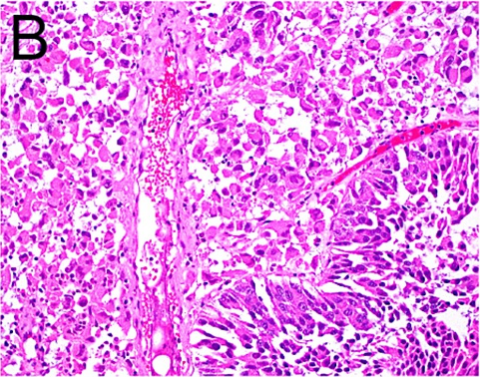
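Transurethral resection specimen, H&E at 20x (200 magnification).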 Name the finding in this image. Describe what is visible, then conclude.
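Plasmacytoid variant histology. Upper left shows discohesive single cells with eccentric nuclei and abundant pink cytoplasm. Lower right shows more cohesive nests of elongated tumour cells.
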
